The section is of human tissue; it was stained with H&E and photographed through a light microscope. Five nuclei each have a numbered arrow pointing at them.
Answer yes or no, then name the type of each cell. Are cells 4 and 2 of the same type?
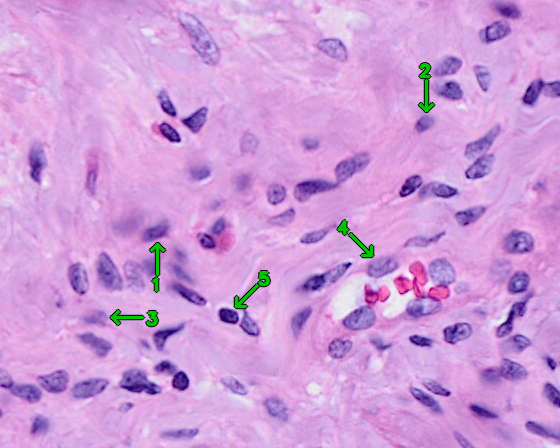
No, cell 4 is an endothelial cell, whereas cell 2, for its part, is a fibroblast.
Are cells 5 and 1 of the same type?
No, cell 5 is a lymphocyte, and in contrast cell 1 is a fibroblast.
